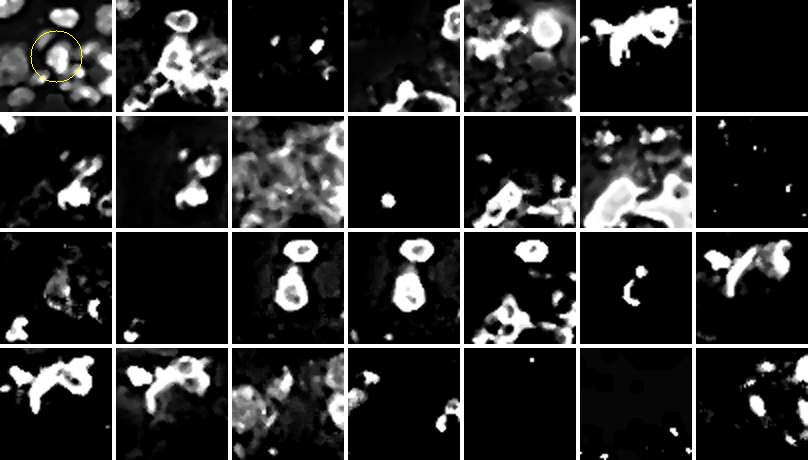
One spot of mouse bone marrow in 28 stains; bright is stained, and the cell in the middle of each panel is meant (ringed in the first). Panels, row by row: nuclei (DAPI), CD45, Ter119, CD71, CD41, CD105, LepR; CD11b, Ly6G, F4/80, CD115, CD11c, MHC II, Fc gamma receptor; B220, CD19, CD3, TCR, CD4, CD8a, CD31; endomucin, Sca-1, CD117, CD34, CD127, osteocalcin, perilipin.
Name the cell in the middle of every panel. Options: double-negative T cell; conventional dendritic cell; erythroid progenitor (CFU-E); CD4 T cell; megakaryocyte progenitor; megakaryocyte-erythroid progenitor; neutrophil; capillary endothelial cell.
double-negative T cell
